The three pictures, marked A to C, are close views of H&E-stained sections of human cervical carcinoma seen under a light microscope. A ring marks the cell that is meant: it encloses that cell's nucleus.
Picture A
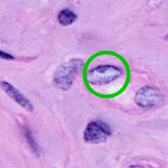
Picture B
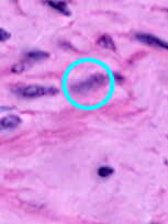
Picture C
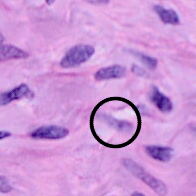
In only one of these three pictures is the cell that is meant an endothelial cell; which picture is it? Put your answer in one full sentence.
The picture with the endothelial cell is A.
